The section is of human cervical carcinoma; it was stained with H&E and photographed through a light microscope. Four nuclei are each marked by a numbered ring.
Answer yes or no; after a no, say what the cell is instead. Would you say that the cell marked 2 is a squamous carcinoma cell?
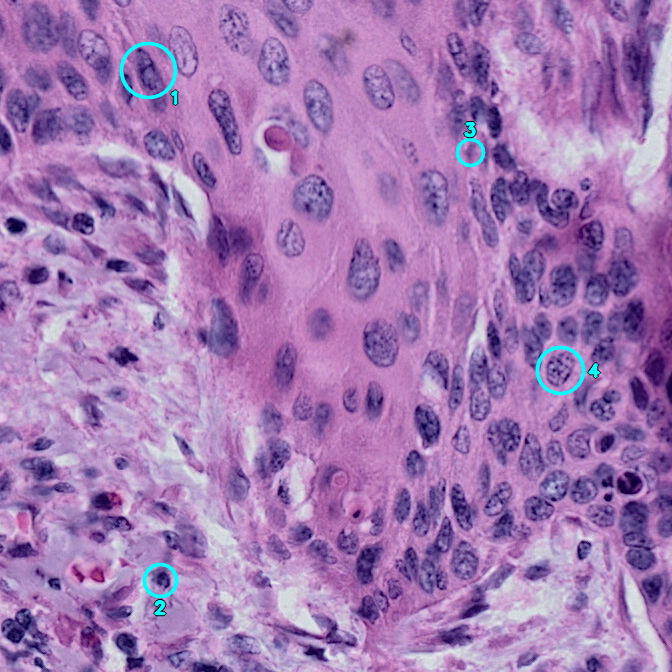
No, it is a lymphocyte.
